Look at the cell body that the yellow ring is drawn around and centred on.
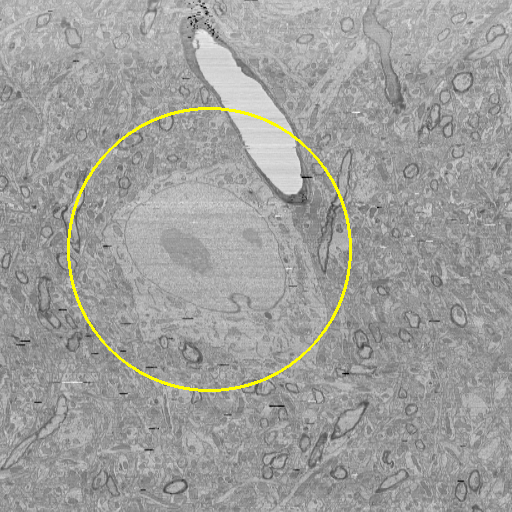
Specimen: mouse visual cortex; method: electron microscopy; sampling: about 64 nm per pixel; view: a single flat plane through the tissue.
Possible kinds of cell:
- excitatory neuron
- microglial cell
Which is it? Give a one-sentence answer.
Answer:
The centred cell body is that of an excitatory neuron.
